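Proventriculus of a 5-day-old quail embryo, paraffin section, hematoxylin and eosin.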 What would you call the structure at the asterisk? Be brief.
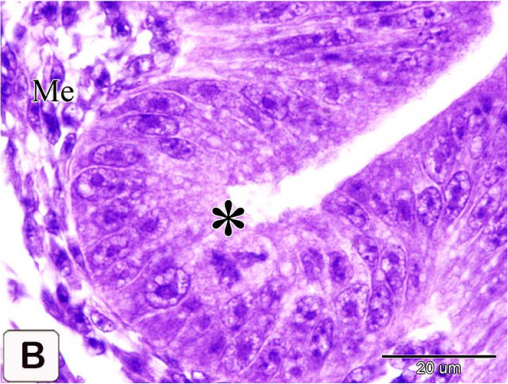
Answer: gland primordium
